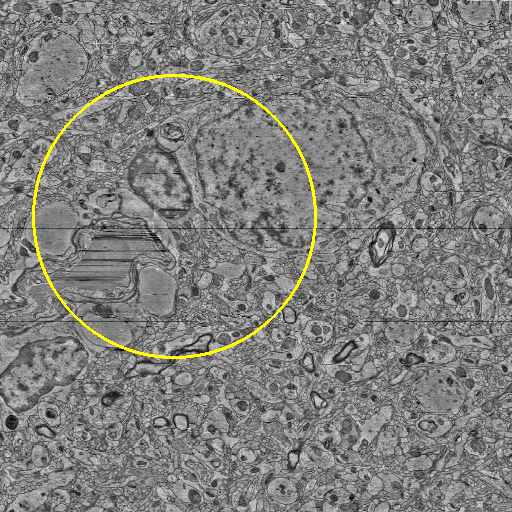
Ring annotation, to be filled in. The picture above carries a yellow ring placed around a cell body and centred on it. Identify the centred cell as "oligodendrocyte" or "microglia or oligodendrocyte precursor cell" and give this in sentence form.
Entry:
The cell in the middle of the ring is an oligodendrocyte.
